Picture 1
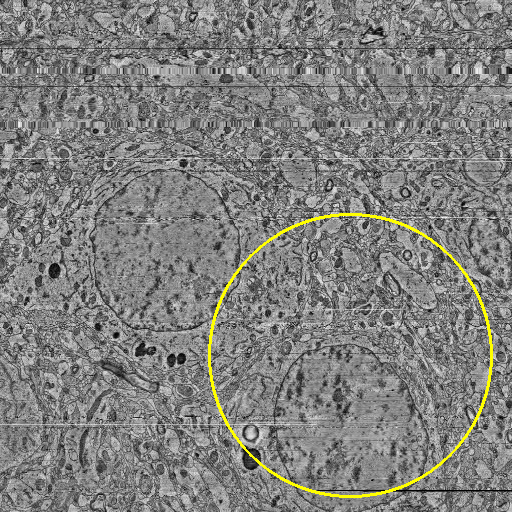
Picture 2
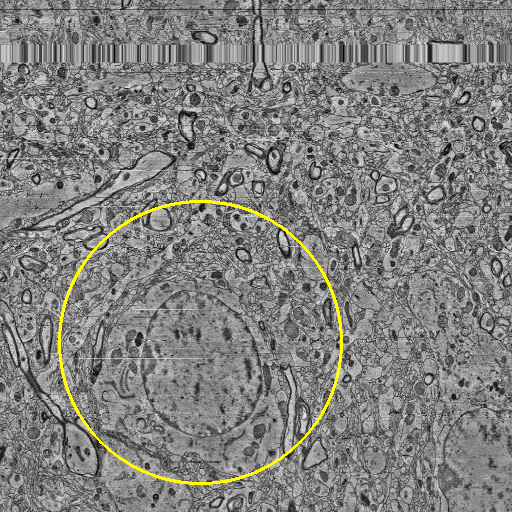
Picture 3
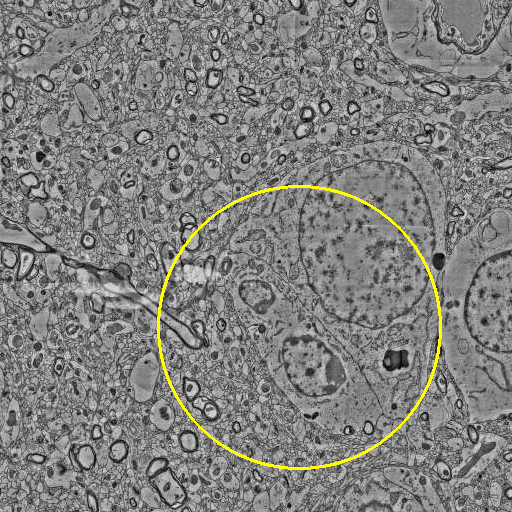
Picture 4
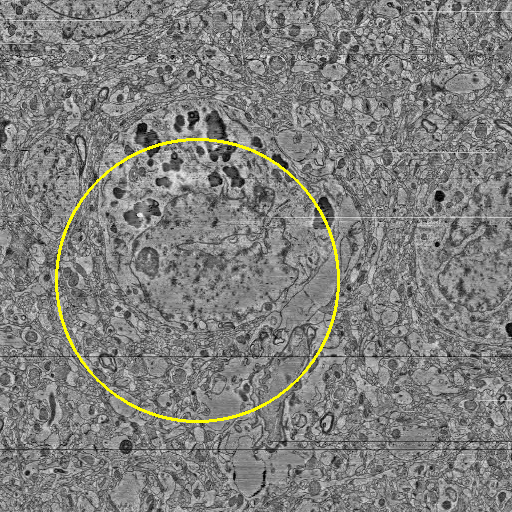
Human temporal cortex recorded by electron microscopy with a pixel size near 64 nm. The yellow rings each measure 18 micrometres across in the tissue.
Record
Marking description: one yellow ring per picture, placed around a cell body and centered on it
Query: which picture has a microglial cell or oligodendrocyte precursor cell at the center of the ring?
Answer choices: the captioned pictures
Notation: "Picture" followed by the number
Picture 3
